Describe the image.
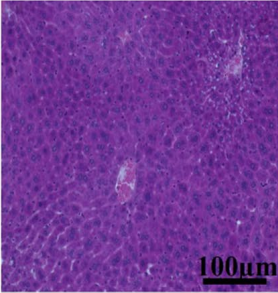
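This is liver tissue in a purple-pink stain, seen at low power. The field is filled evenly with large polygonal cells, each with a round, dark purple nucleus sitting centrally in pink-purple cytoplasm. The cells lie in cords that are separated by narrow pale clefts, the spaces where blood channels run. Two small vessels are cut across, one near the centre left and one near the upper right, each with a little pink content inside.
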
